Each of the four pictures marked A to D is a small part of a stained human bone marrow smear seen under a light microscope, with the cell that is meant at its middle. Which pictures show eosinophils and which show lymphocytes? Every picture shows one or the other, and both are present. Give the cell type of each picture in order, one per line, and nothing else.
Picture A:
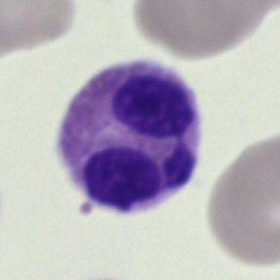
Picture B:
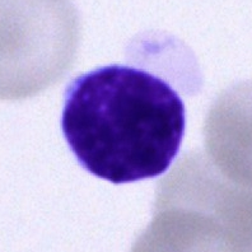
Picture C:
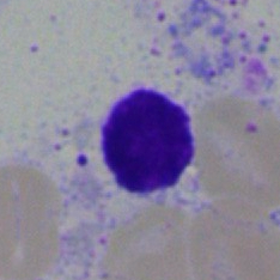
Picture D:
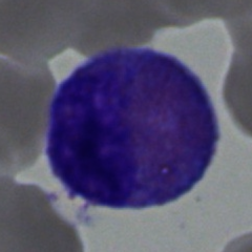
eosinophil
lymphocyte
lymphocyte
eosinophil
